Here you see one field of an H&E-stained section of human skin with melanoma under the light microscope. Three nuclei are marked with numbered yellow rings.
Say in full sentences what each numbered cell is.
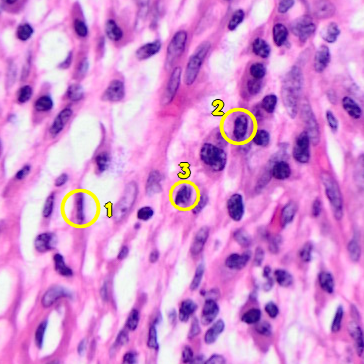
Cell 1 is a fibroblast or myofibroblast, cell 2 is a plasma cell and cell 3 is a lymphocyte.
